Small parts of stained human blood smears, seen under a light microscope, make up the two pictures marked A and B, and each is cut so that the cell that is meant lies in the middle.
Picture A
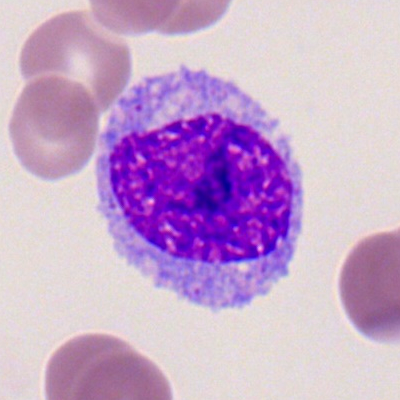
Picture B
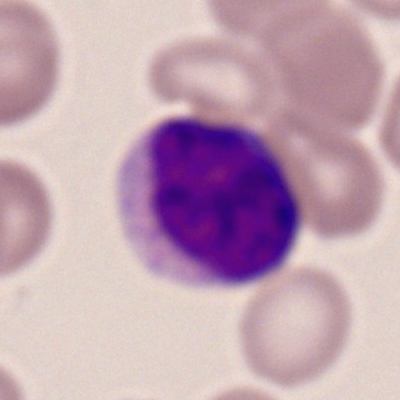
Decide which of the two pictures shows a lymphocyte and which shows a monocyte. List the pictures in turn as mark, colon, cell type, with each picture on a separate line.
A: monocyte
B: lymphocyte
